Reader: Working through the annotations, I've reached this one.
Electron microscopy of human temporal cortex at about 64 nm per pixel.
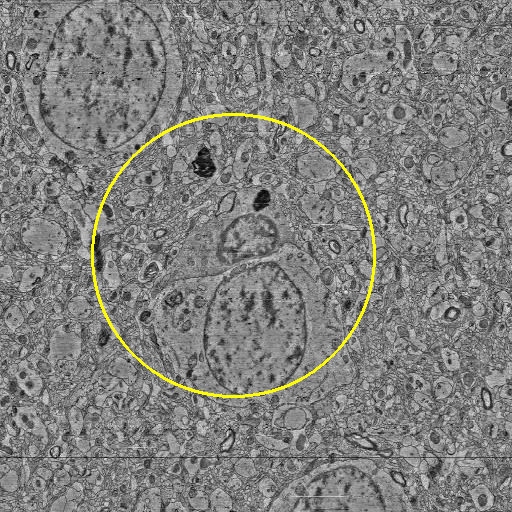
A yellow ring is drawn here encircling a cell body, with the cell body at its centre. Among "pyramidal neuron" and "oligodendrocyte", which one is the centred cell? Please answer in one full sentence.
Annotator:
The cell body at the centre of the yellow ring in this image belongs to an oligodendrocyte.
